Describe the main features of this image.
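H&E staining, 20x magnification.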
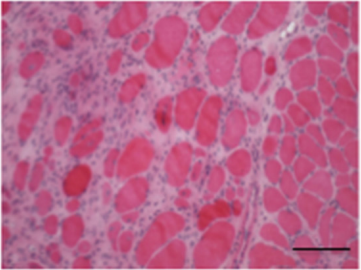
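This is skeletal muscle in cross-section, with extensive infiltration of inflammatory cells between the fibers. The muscle fibers are pink, rounded and very unequal in size, some small and some large and more intensely stained. Between them lie wide areas crowded with small, dark purple nuclei rather than the thin borders of normal muscle. The fibers appear scattered as islands within this cellular tissue instead of forming a tightly packed mosaic.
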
